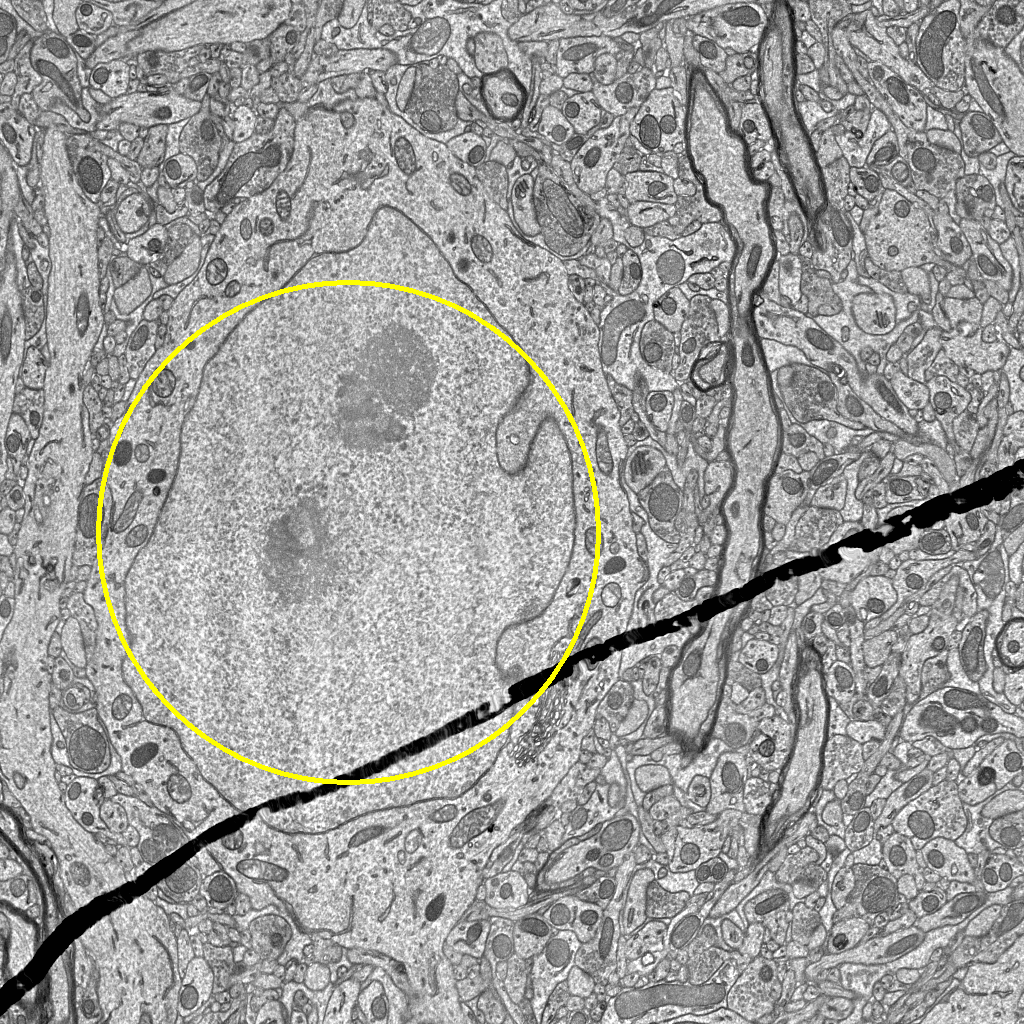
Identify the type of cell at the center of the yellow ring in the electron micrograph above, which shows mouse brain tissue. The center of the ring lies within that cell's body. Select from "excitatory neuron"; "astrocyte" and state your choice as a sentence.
The center of the yellow ring lies in the body of an excitatory neuron.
